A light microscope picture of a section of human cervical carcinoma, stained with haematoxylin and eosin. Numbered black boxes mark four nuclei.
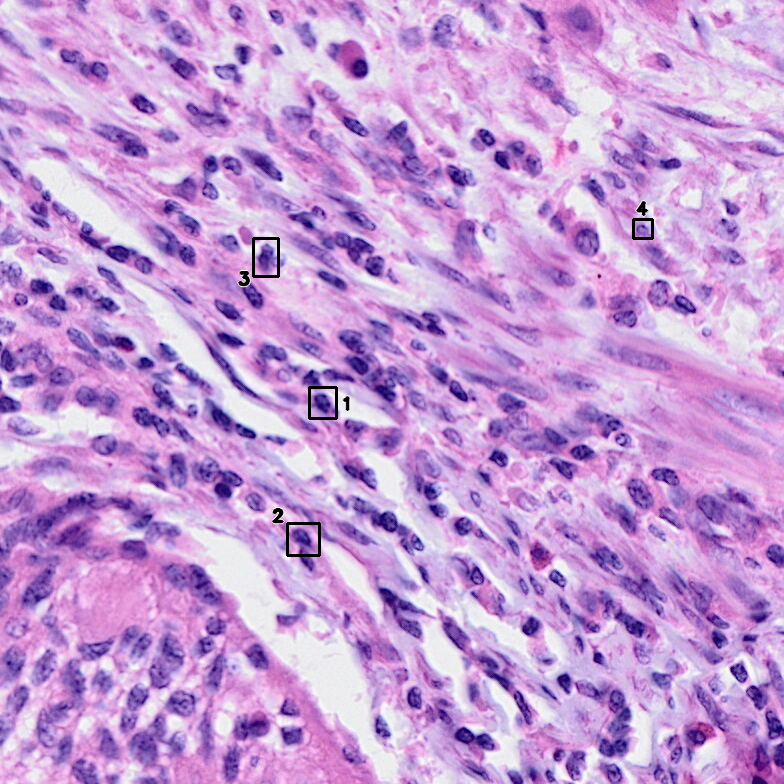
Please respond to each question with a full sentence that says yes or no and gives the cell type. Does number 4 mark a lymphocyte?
No, calling cell 4 a lymphocyte is a mistake; it is a fibroblast.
